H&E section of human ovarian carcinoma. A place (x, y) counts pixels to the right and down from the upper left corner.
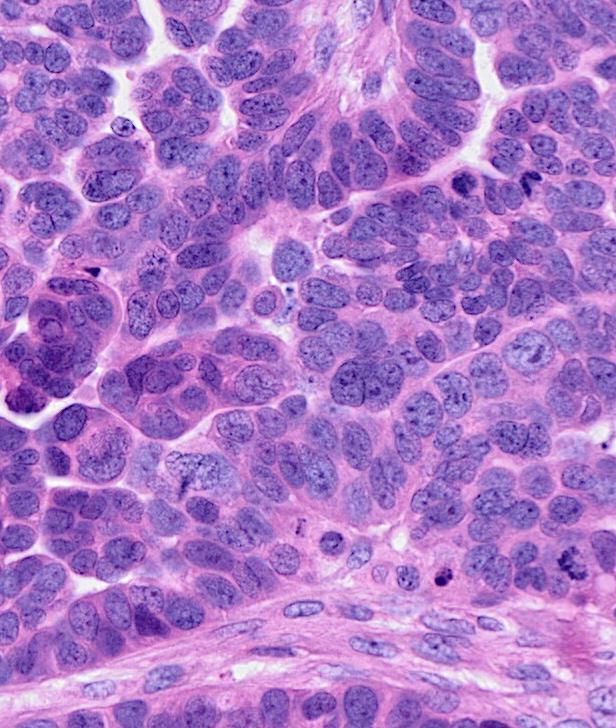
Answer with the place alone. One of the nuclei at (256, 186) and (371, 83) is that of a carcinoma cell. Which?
(256, 186)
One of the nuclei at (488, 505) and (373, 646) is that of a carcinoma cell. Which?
(488, 505)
